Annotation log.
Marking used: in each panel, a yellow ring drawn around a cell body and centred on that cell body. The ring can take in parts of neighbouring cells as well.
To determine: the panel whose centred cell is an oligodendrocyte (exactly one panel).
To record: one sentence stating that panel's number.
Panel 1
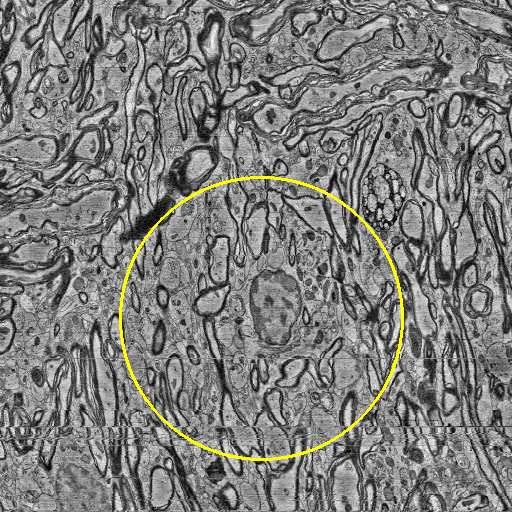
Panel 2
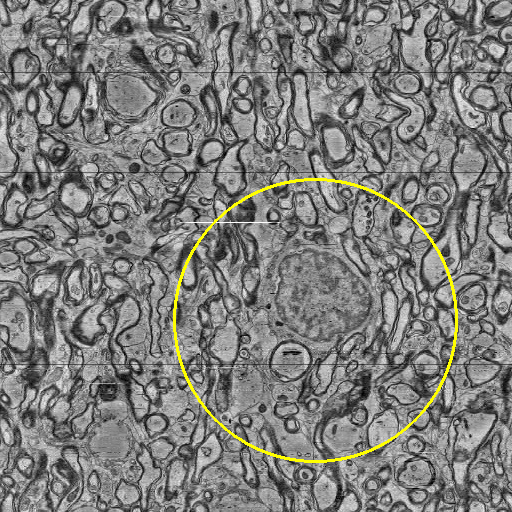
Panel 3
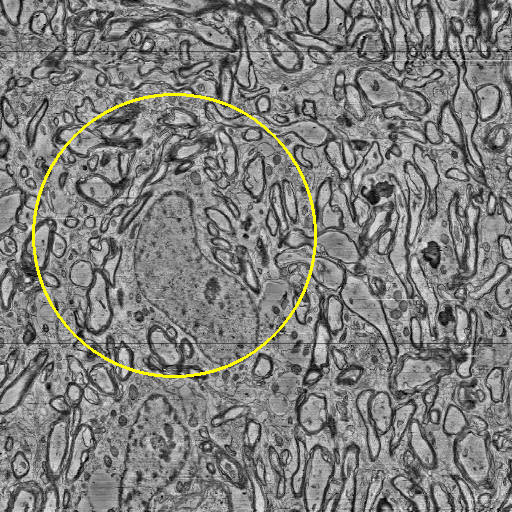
Panel 2 shows it at the centre of its ring.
